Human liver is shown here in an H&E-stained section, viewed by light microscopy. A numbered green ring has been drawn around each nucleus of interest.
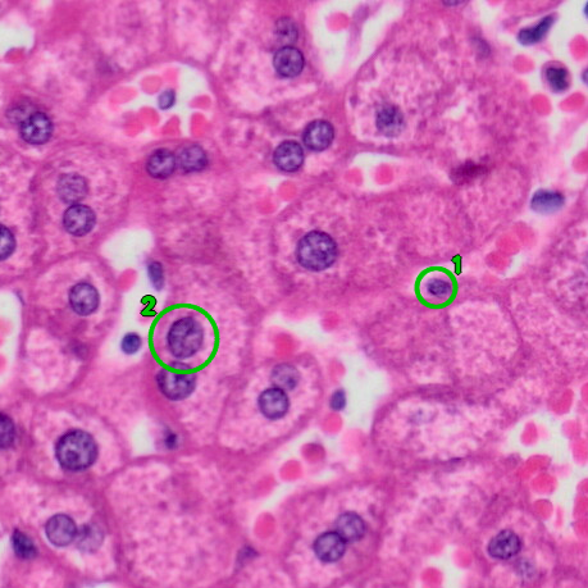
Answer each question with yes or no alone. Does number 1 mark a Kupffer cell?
yes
